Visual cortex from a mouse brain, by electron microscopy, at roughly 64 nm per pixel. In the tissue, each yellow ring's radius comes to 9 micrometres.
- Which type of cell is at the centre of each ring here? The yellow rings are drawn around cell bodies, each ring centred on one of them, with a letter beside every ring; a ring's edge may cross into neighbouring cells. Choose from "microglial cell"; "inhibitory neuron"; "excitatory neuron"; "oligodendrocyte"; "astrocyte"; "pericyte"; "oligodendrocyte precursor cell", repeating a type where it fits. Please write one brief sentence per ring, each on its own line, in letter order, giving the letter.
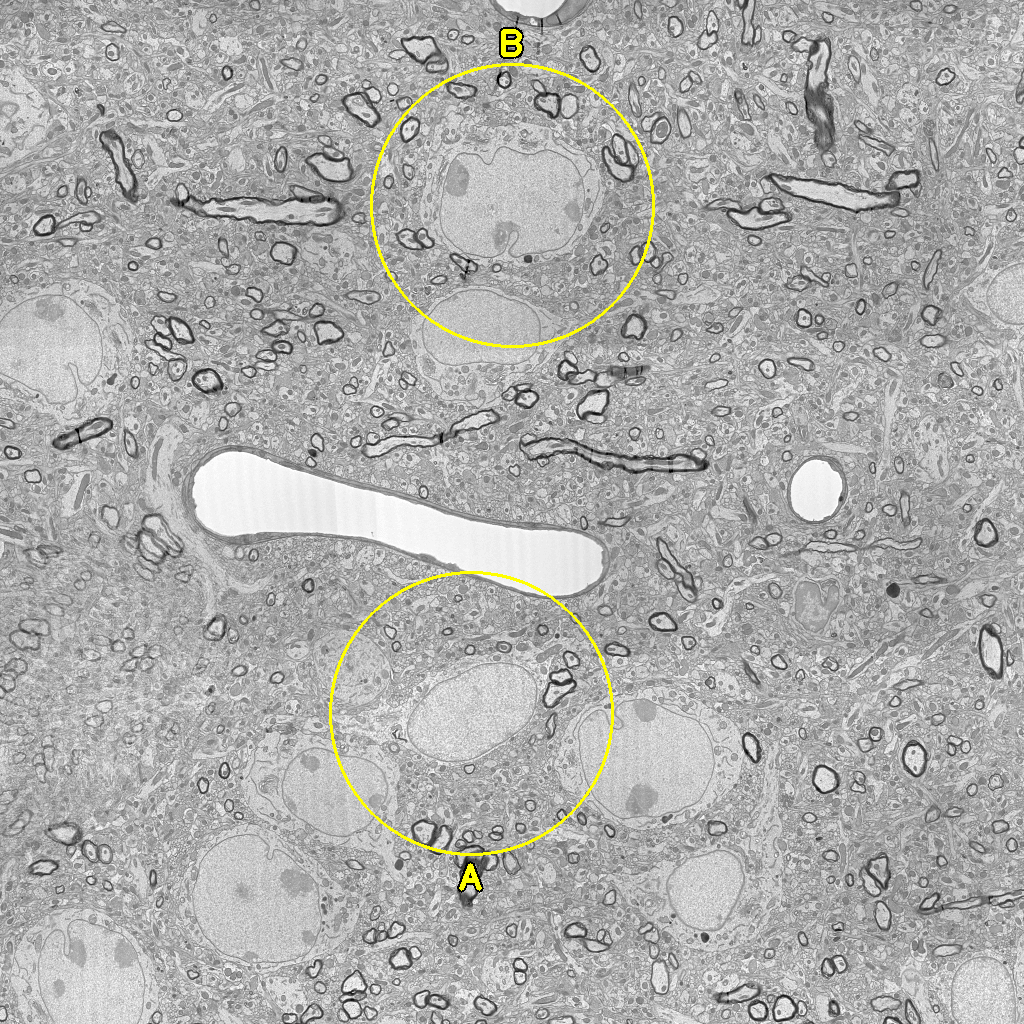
Ring A is centred over an astrocyte.
Ring B is centred over an excitatory neuron.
